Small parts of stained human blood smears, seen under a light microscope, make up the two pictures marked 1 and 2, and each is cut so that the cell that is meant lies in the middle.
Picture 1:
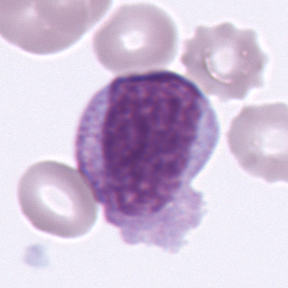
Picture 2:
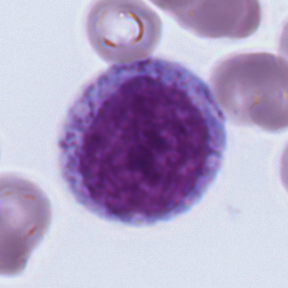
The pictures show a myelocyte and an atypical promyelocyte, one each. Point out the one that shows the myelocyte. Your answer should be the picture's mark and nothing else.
2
